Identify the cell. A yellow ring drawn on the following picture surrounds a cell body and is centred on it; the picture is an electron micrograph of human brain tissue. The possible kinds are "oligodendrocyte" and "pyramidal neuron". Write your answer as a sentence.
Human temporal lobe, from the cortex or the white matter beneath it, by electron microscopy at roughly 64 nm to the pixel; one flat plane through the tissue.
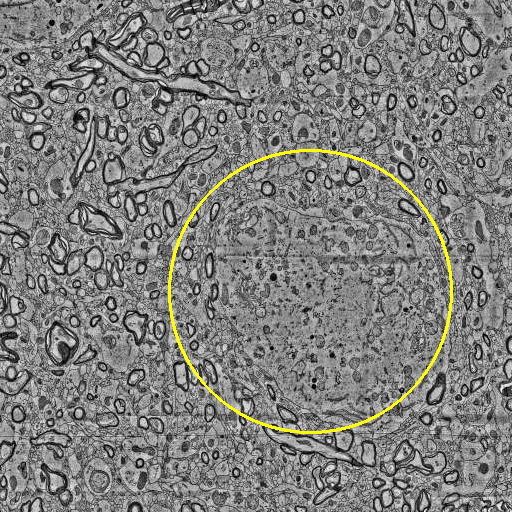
The cell identified by the ring is an oligodendrocyte.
